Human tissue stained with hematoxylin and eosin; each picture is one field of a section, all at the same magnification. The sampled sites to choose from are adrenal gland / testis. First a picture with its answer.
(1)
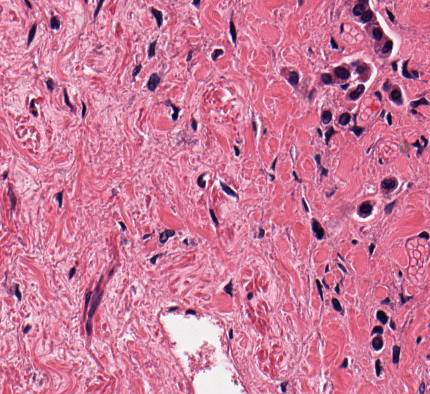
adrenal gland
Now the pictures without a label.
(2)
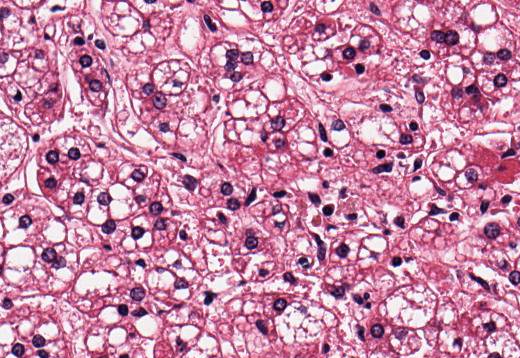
adrenal gland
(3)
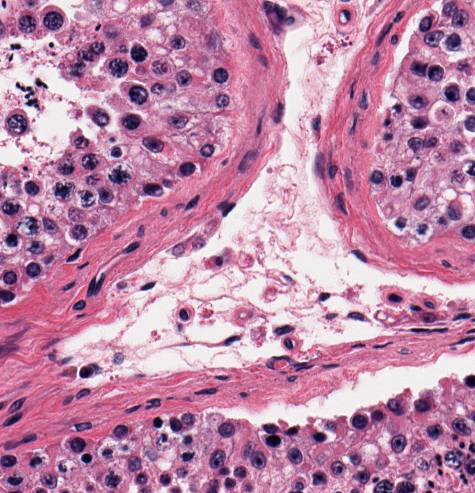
testis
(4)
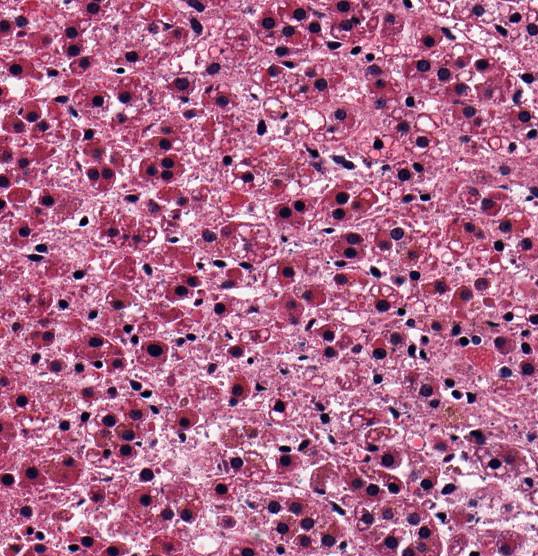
adrenal gland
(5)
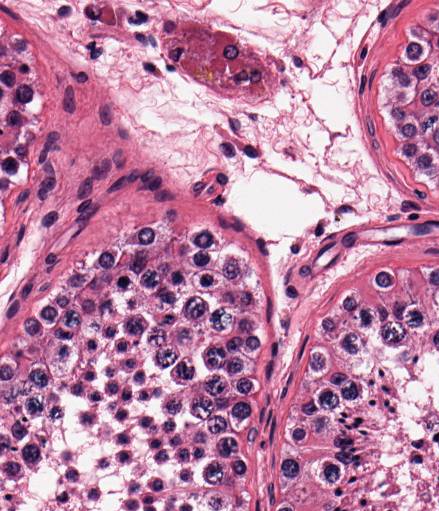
testis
